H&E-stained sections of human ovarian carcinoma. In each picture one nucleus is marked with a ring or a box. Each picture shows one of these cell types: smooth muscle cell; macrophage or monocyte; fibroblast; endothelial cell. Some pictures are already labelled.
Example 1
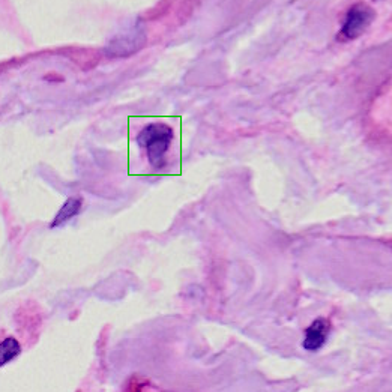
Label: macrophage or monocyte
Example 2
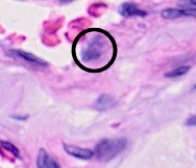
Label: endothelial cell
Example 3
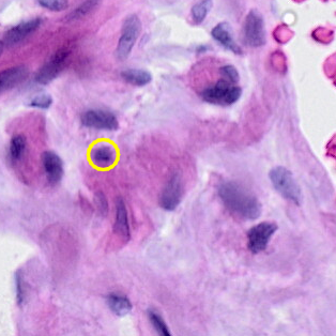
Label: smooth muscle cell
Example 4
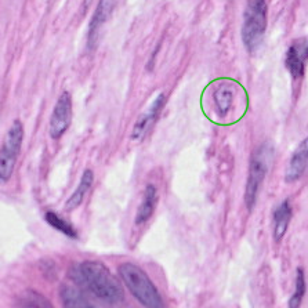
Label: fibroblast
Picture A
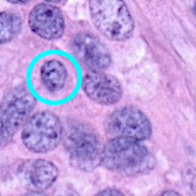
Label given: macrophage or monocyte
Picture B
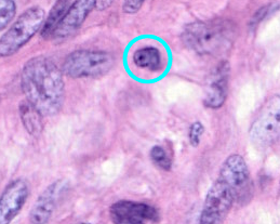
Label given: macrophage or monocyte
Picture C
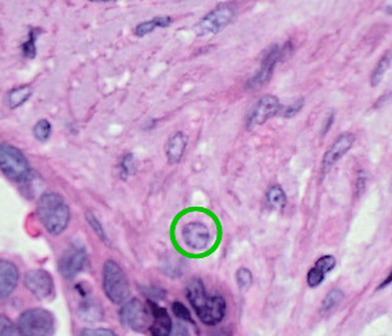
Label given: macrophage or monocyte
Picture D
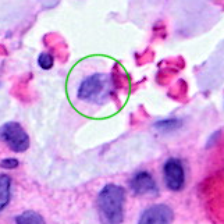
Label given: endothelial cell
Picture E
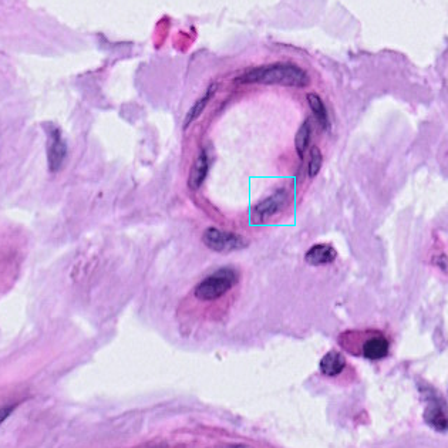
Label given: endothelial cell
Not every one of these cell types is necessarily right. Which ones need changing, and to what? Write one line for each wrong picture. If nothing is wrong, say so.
All labels are correct.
